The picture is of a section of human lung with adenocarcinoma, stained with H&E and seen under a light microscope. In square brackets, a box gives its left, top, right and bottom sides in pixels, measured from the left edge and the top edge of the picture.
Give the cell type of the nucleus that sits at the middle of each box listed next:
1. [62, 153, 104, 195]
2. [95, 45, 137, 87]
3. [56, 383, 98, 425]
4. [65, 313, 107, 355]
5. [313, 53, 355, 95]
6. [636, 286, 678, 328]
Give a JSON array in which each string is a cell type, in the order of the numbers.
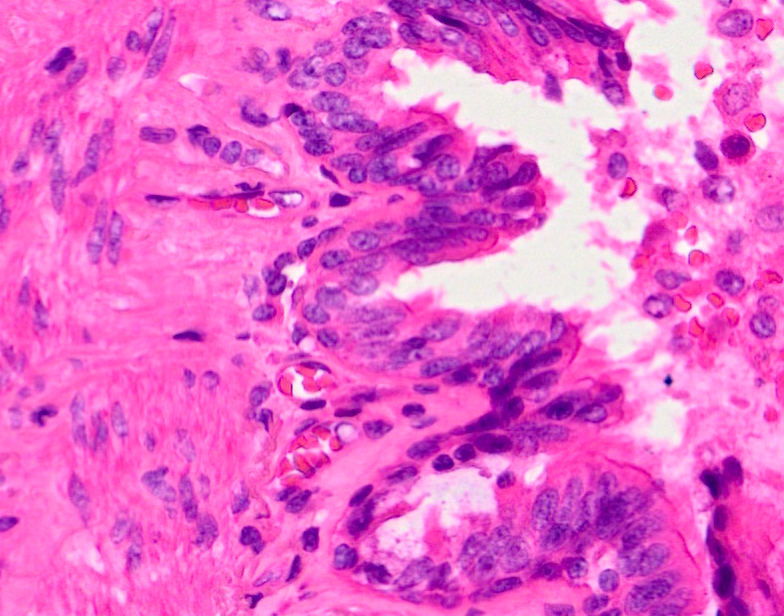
["smooth muscle cell or pericyte", "smooth muscle cell or pericyte", "smooth muscle cell or pericyte", "smooth muscle cell or pericyte", "ciliated epithelial cell", "macrophage or monocyte"]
